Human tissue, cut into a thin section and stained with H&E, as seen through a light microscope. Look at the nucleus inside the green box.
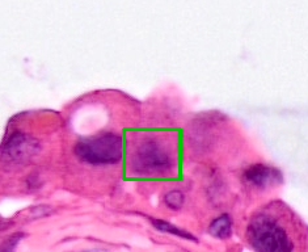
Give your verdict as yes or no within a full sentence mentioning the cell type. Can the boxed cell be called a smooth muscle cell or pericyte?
No, the boxed cell counts as a carcinoma cell rather than as a smooth muscle cell or pericyte.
